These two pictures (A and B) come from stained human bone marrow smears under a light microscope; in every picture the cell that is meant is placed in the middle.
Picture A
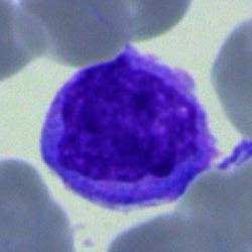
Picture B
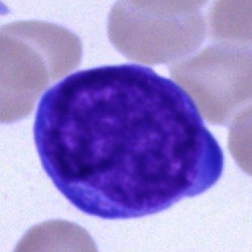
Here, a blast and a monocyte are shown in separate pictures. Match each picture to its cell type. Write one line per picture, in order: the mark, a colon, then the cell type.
A: monocyte
B: blast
